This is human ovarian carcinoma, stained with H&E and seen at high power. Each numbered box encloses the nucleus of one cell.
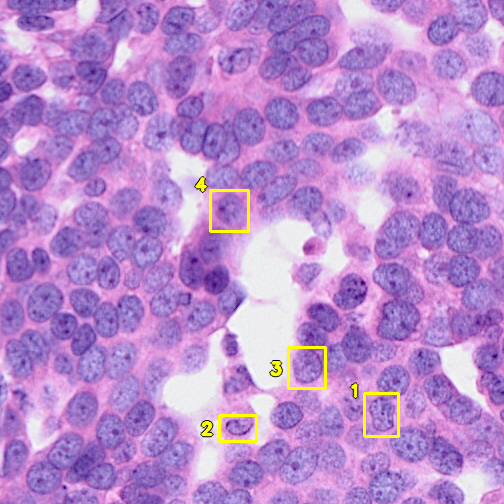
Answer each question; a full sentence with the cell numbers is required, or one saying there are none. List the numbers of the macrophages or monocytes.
Only number 2 is a macrophage or monocyte; none of the others are.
